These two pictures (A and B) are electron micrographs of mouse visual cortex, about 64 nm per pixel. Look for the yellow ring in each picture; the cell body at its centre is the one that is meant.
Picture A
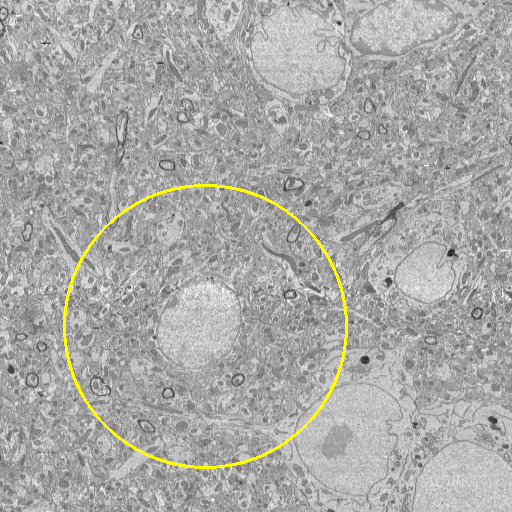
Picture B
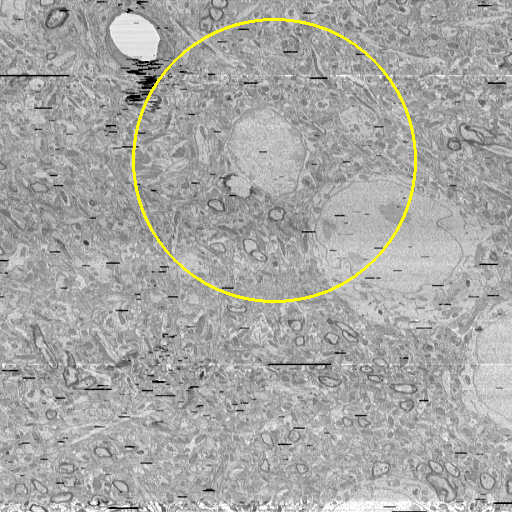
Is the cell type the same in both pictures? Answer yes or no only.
yes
